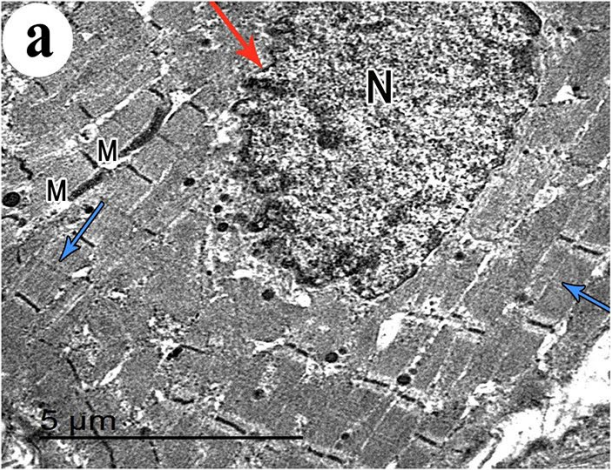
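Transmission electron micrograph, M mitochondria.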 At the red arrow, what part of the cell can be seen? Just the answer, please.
Irregular nuclear envelope.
